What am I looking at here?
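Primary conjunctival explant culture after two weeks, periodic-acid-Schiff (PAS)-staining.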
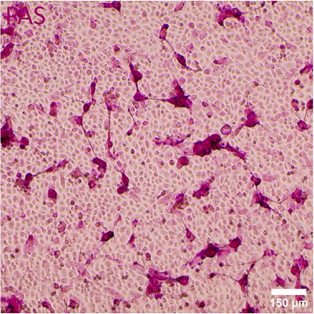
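Scattered among them, singly and in small groups, are cells stained deep magenta. These magenta cells are irregular in shape, many with elongated or branching extensions that reach across the neighbouring pale cells. They are spread unevenly over the field rather than forming a continuous layer.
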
